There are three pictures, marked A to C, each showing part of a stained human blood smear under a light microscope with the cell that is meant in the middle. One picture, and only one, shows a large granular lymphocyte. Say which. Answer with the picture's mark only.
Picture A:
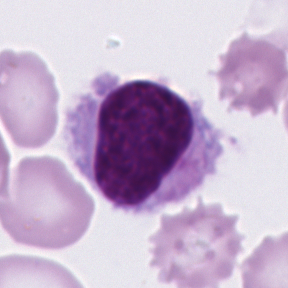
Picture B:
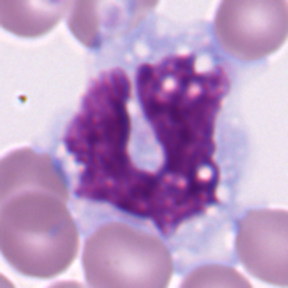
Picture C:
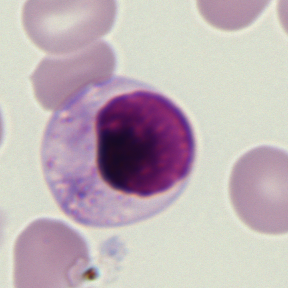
C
